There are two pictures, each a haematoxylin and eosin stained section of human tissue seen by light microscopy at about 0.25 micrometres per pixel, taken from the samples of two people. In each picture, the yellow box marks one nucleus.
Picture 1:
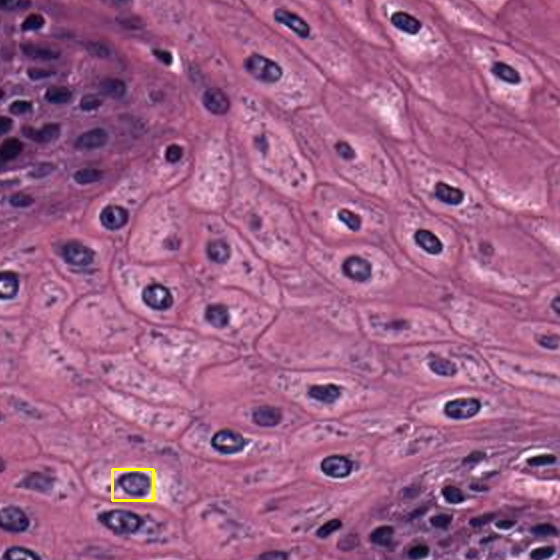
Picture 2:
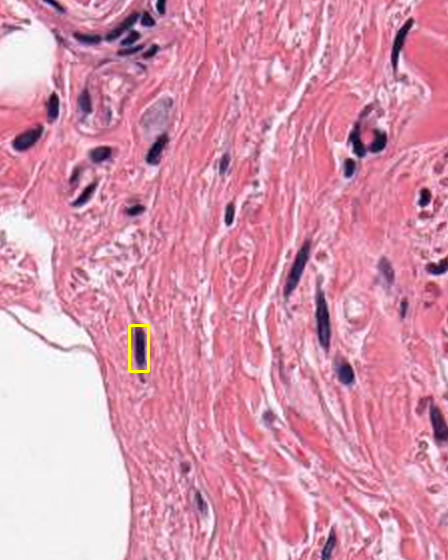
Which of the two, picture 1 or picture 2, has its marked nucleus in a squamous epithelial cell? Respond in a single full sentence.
The marked nucleus belongs, in picture 1, to a squamous epithelial cell.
